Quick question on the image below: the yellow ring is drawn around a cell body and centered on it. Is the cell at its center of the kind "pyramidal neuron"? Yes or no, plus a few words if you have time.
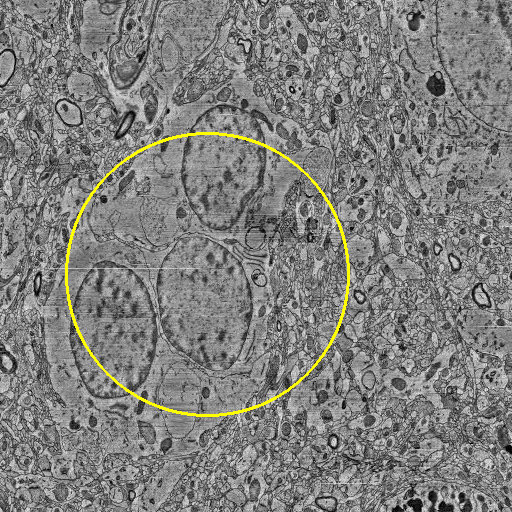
No, the cell at the center is of another kind.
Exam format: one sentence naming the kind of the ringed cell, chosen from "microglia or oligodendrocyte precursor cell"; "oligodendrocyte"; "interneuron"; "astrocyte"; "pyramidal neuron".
Instead, the cell at the centre of the ring is an astrocyte.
